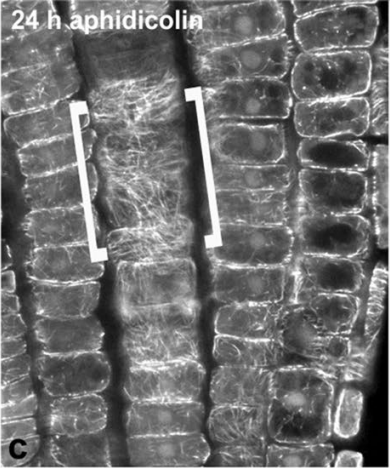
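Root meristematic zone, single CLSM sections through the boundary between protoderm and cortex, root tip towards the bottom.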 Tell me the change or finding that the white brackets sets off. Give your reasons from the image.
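Random orientation. Between the brackets filaments run in many directions and criss-cross. Outside the brackets filaments look more parallel.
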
